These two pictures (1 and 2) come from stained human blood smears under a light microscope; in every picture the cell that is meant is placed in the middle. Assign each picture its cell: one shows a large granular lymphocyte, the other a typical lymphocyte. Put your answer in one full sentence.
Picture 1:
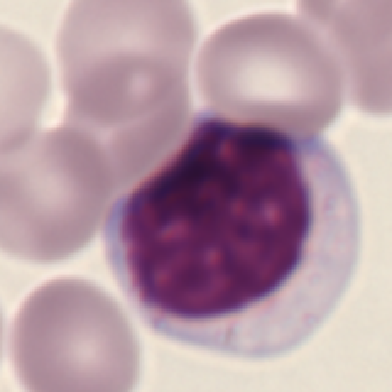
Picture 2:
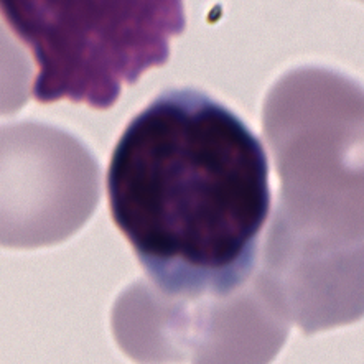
The cell in picture 1 is a large granular lymphocyte, and the one in picture 2 is a typical lymphocyte.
